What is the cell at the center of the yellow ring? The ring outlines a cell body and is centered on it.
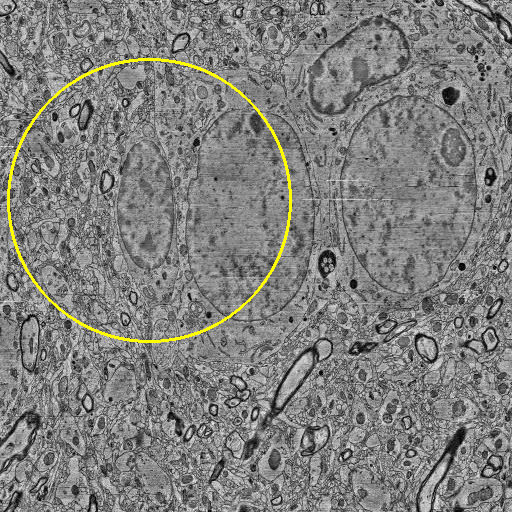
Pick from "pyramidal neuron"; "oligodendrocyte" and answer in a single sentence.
The yellow ring is centered on an oligodendrocyte.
